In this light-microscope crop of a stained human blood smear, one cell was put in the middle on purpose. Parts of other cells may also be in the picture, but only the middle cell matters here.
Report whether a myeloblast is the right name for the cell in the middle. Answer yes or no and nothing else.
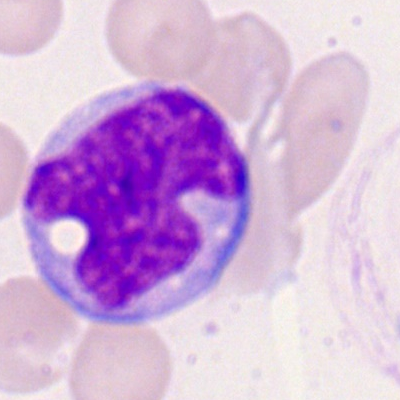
no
